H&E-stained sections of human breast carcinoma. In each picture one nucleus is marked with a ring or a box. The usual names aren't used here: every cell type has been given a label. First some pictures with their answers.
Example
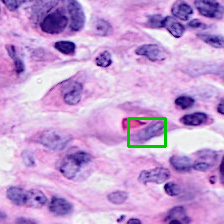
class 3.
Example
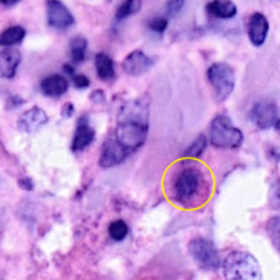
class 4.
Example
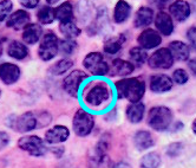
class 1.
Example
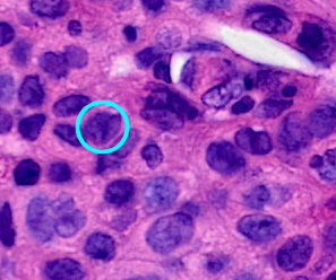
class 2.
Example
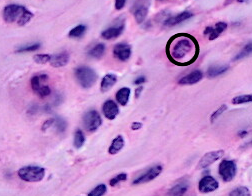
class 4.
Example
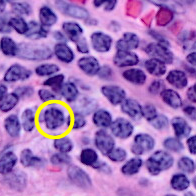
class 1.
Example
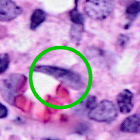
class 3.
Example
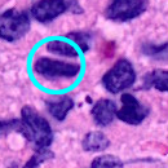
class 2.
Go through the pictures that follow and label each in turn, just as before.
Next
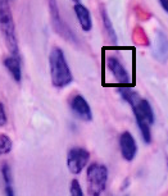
class 3.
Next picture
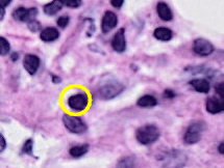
class 1.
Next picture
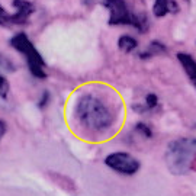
class 4.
